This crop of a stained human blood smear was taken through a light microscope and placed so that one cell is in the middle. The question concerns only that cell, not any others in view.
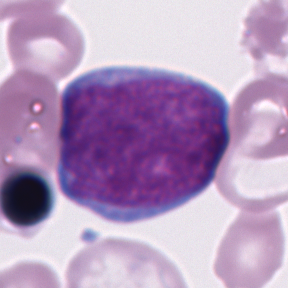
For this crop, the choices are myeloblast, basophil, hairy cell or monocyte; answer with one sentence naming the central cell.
This crop is built around a myeloblast at its centre.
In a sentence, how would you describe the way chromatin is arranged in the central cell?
Its chromatin is finely dispersed rather than coarsely clumped.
